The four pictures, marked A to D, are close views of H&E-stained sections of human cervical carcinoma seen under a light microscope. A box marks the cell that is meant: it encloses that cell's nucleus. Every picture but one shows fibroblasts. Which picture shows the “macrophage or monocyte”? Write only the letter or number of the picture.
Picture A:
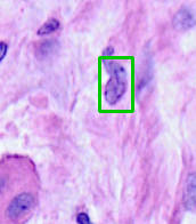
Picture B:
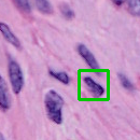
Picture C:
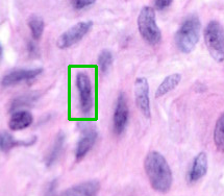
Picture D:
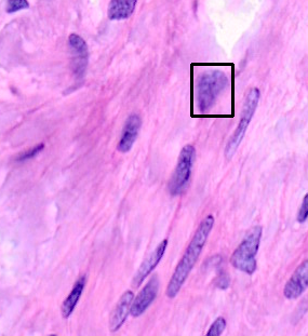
A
